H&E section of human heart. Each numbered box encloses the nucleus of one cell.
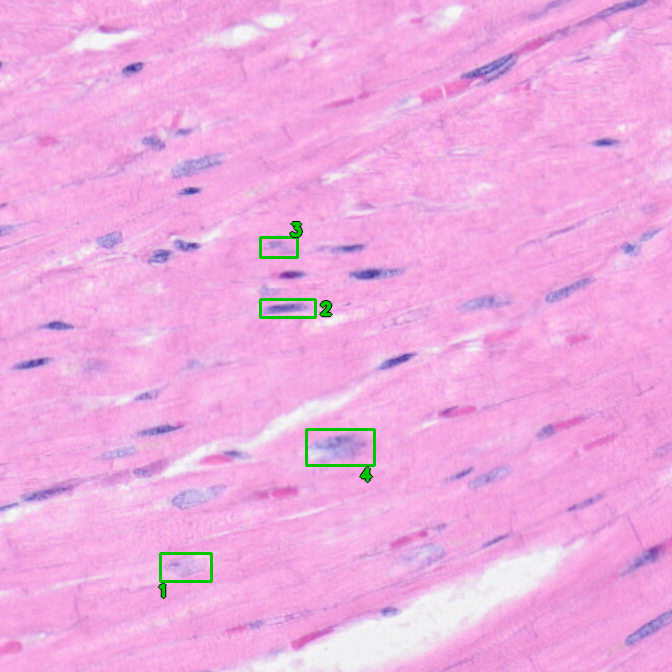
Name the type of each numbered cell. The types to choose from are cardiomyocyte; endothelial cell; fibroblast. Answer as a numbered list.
1. cardiomyocyte
2. endothelial cell
3. cardiomyocyte
4. cardiomyocyte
